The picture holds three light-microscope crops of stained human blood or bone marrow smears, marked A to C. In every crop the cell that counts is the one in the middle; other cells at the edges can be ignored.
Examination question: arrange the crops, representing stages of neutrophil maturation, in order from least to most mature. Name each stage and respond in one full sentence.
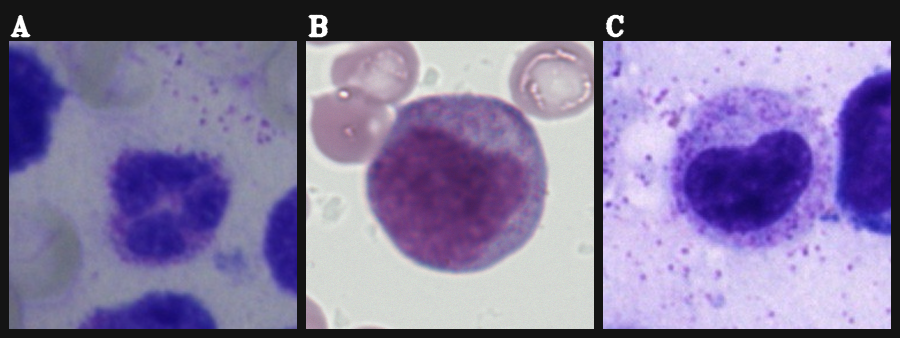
The least to most mature sequence reads crop B (a promyelocyte), crop C (a metamyelocyte) and crop A (a segmented neutrophil).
